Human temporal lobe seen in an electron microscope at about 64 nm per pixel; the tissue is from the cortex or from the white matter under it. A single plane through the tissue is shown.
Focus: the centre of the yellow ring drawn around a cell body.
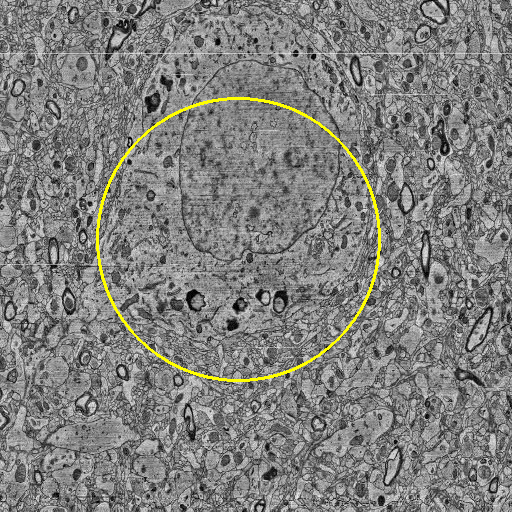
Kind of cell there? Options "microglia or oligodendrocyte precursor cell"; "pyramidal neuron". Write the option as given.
pyramidal neuron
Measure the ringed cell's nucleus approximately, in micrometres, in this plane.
The nucleus of the ringed cell is approximately 14 by 10 micrometres in this plane.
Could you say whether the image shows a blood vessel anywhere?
No, no vessel shows anywhere in the image.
